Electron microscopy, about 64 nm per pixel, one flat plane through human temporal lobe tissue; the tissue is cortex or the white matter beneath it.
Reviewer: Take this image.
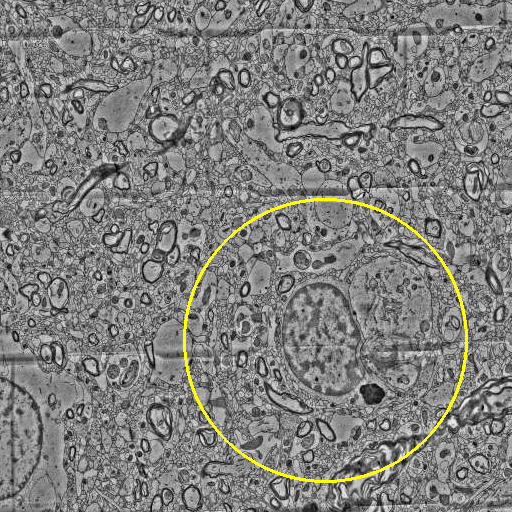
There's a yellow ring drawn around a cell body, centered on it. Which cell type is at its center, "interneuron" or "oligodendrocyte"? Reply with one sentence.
At the center of the yellow ring is an oligodendrocyte.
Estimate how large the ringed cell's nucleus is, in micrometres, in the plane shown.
About 7 by 5 micrometers for the nucleus, in this plane.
